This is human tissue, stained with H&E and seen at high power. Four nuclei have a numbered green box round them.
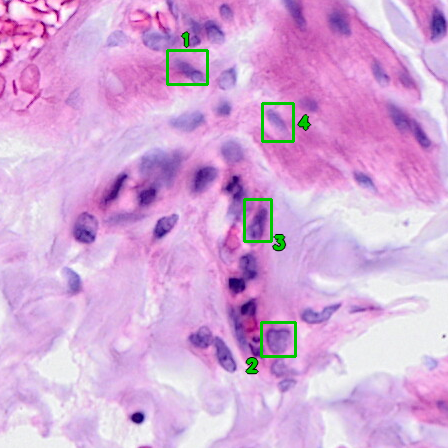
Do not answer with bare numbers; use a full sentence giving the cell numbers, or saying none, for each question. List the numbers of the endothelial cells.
The cells whose numbers are 2 and 3 are endothelial cells.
